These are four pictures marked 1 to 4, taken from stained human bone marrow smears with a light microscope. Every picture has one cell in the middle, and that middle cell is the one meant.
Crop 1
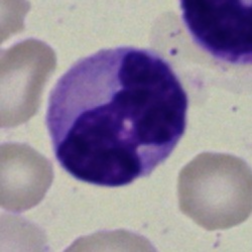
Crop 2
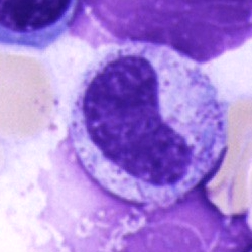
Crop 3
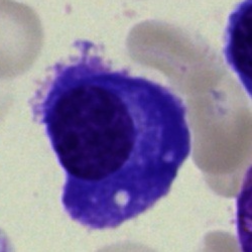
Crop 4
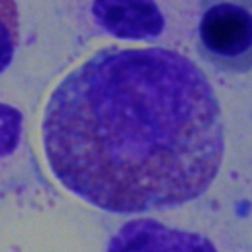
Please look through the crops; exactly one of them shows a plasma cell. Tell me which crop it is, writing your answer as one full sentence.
The crop showing a plasma cell in this series is crop 3.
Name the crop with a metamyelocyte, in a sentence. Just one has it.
Of the crops given, a metamyelocyte is found in crop 2.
